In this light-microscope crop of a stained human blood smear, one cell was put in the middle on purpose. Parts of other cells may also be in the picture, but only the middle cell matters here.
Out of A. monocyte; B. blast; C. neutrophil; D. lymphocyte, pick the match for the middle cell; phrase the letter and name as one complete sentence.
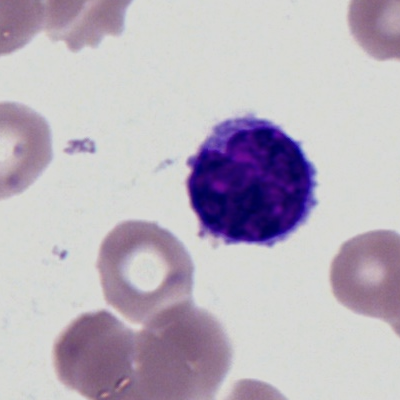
Option D is the correct one; it names the central cell as a lymphocyte.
